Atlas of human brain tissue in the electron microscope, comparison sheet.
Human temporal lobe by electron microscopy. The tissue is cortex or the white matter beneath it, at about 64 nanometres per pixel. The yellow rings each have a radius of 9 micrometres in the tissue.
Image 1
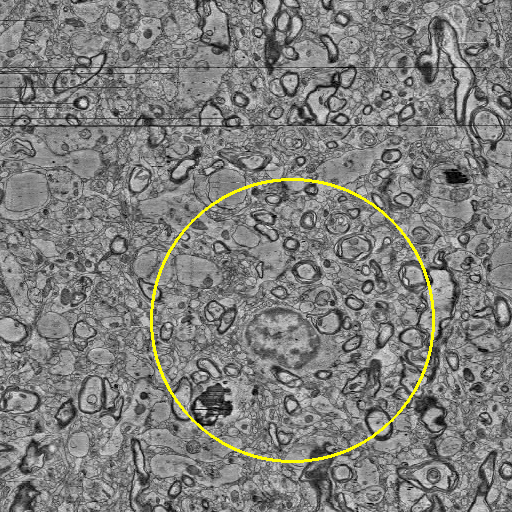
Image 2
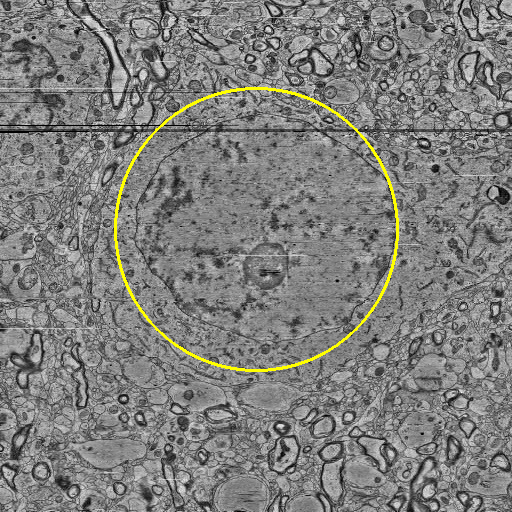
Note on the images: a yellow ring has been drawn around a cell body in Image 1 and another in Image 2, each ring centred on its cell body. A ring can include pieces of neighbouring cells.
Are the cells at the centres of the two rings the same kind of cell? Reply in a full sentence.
No, the two cells are of two kinds.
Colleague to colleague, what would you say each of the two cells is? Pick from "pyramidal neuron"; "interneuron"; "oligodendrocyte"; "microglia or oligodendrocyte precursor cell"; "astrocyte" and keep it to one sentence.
The cell in the first picture is an oligodendrocyte; the second picture's cell is a pyramidal neuron.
